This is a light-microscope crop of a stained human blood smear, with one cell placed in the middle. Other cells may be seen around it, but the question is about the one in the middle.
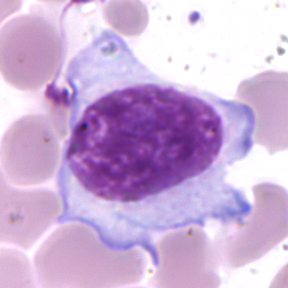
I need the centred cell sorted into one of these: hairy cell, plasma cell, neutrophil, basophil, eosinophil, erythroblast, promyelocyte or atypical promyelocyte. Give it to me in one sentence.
The centrally located cell in the crop is a plasma cell.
